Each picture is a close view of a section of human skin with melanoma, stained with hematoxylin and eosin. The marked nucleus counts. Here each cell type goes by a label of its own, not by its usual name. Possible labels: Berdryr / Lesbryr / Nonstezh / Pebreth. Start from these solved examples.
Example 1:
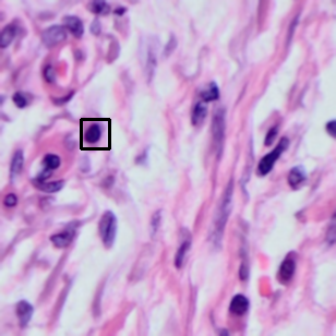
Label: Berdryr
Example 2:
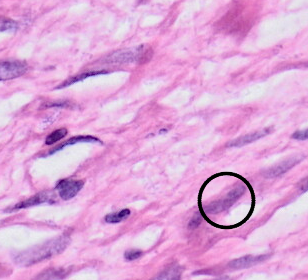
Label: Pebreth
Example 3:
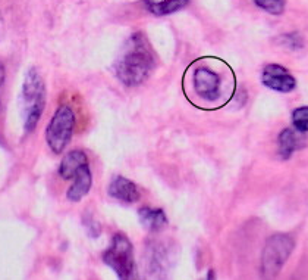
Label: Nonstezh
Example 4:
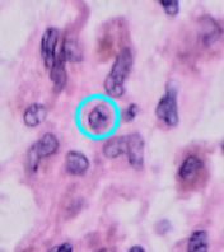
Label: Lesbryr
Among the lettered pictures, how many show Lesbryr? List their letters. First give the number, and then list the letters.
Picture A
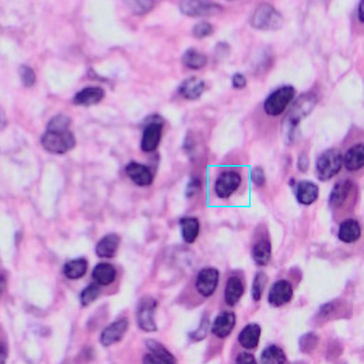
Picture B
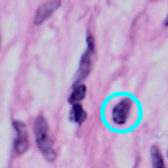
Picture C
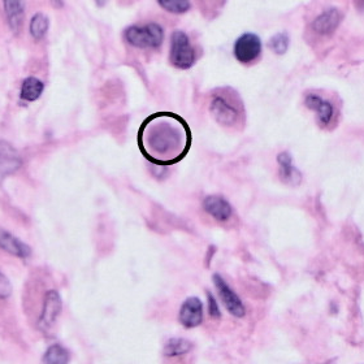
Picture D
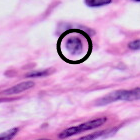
Count: 1 (B)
